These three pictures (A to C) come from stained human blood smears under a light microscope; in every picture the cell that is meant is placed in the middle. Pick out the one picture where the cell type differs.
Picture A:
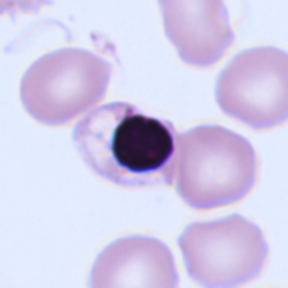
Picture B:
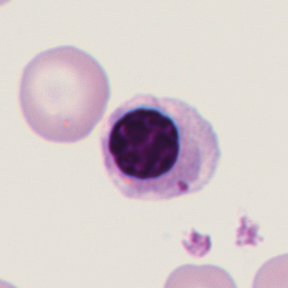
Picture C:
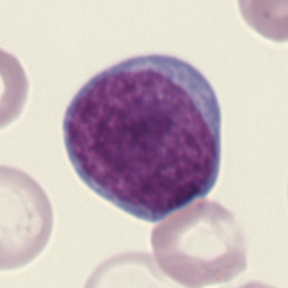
C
